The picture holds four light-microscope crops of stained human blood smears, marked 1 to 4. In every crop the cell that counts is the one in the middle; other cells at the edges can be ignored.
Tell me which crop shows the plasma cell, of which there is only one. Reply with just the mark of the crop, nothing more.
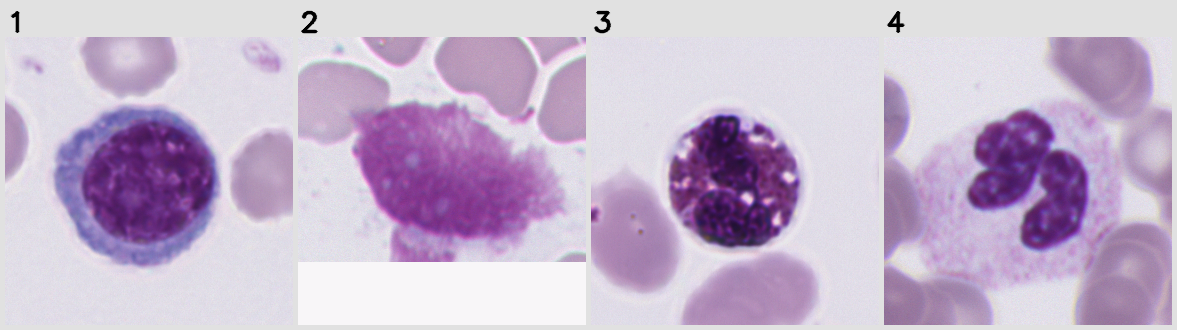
1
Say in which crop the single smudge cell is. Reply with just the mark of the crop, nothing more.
2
